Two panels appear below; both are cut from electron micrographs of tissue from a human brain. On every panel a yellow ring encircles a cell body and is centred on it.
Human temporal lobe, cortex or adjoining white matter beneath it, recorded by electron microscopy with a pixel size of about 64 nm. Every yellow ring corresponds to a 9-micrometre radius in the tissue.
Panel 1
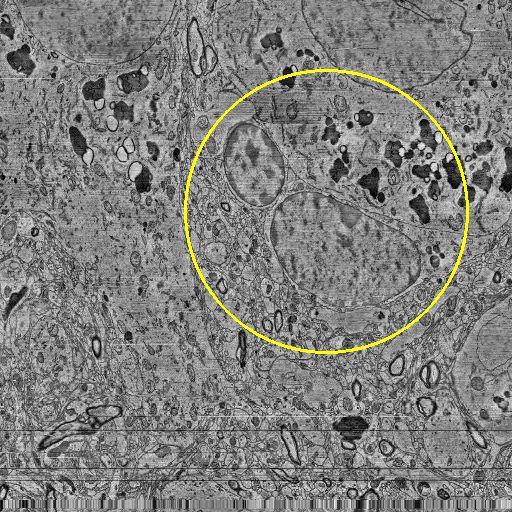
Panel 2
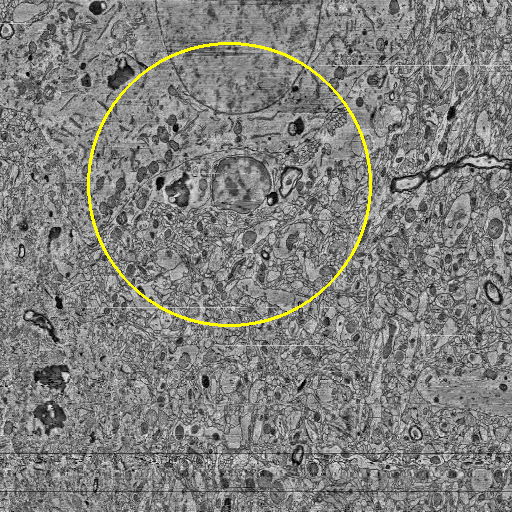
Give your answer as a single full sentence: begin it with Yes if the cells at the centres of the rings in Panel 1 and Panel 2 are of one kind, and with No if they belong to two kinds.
Yes, the cells in the middle of the rings in Panels 1 and 2 are of one kind.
